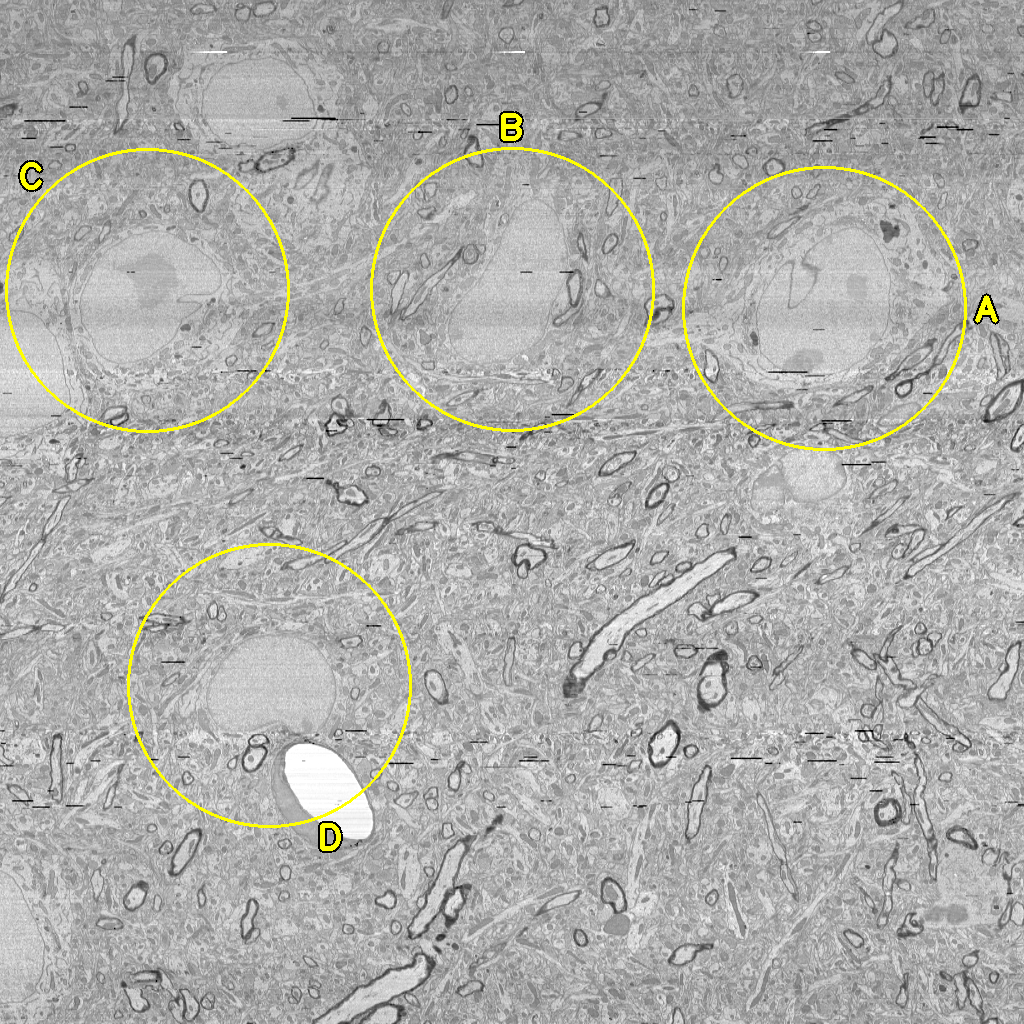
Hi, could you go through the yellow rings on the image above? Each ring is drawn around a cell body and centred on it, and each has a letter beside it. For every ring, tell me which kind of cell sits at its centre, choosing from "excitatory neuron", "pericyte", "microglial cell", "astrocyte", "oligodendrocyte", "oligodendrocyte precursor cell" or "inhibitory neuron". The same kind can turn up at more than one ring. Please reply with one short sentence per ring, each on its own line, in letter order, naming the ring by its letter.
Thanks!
Ring A is centred on an excitatory neuron.
Ring B is centred on an astrocyte.
Ring C is centred on an inhibitory neuron.
Ring D is centred on an astrocyte.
